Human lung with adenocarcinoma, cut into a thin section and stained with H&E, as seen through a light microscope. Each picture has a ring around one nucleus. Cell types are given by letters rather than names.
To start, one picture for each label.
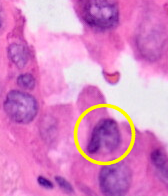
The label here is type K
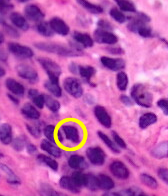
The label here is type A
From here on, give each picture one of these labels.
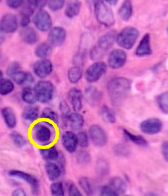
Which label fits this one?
type A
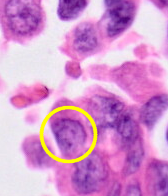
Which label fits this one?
type K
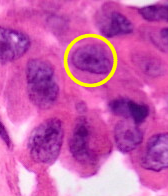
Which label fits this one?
type K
